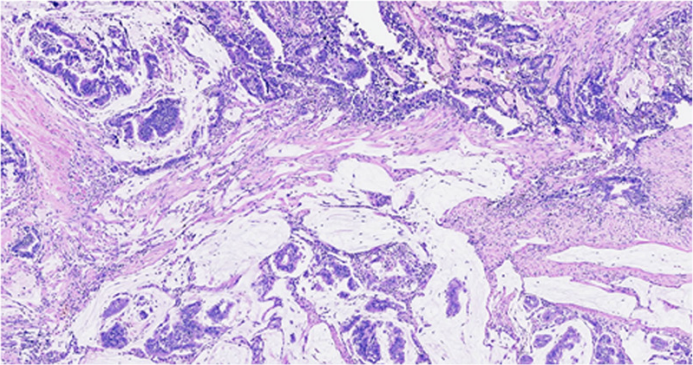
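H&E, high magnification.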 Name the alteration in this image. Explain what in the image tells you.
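Well-differentiated adenocarcinoma with mucinous carcinoma. Irregular glands lined by crowded dark-staining columnar cells. Pale, lightly basophilic pools of extracellular mucin with floating clusters of tumor glands. Fibrous pink stroma between the tumor glands.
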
